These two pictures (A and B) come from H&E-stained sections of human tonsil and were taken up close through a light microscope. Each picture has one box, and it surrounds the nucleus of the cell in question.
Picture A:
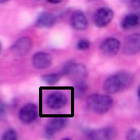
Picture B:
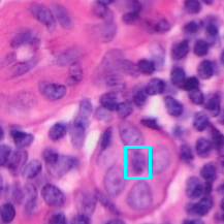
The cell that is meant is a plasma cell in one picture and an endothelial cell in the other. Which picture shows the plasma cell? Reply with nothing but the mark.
A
